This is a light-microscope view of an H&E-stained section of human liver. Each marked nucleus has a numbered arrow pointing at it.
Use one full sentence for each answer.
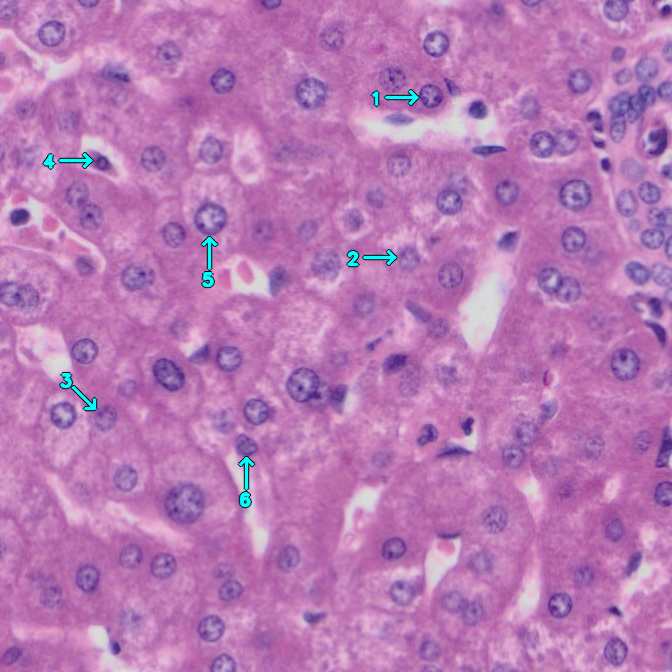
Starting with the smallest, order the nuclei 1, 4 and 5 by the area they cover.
Smallest first, the nuclei run 4, 1, 5.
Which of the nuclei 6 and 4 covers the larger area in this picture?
The larger nucleus is 6, at roughly 1.5 times the area of 4.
